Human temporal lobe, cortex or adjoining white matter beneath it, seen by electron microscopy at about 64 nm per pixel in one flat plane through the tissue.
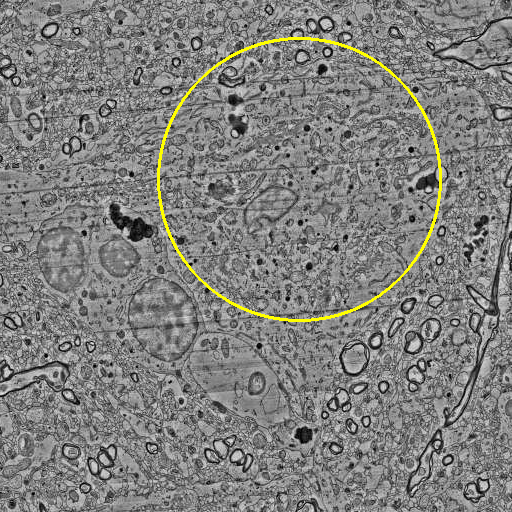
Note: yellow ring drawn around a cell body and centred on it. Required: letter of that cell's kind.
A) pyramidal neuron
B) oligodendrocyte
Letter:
A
